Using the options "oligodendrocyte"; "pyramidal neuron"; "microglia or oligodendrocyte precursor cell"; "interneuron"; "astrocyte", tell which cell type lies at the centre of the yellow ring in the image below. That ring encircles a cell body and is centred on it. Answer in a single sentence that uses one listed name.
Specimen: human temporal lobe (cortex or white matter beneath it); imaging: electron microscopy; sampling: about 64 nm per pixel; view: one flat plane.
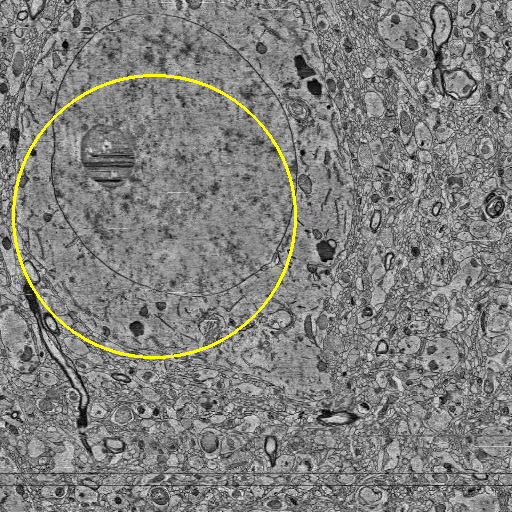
At the centre of the yellow ring lies the body of a pyramidal neuron.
